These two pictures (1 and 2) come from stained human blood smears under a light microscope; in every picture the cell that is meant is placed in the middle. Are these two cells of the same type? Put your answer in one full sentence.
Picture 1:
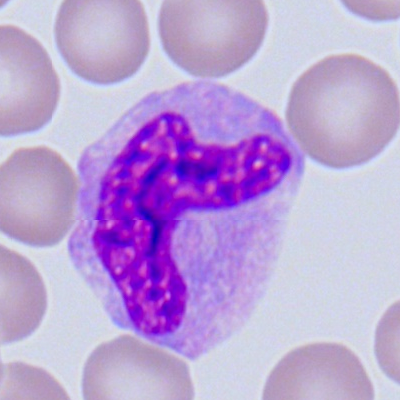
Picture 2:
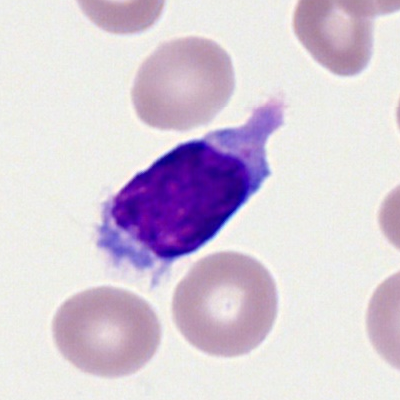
No. Picture 1 shows a monocyte, but picture 2 shows a lymphocyte.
